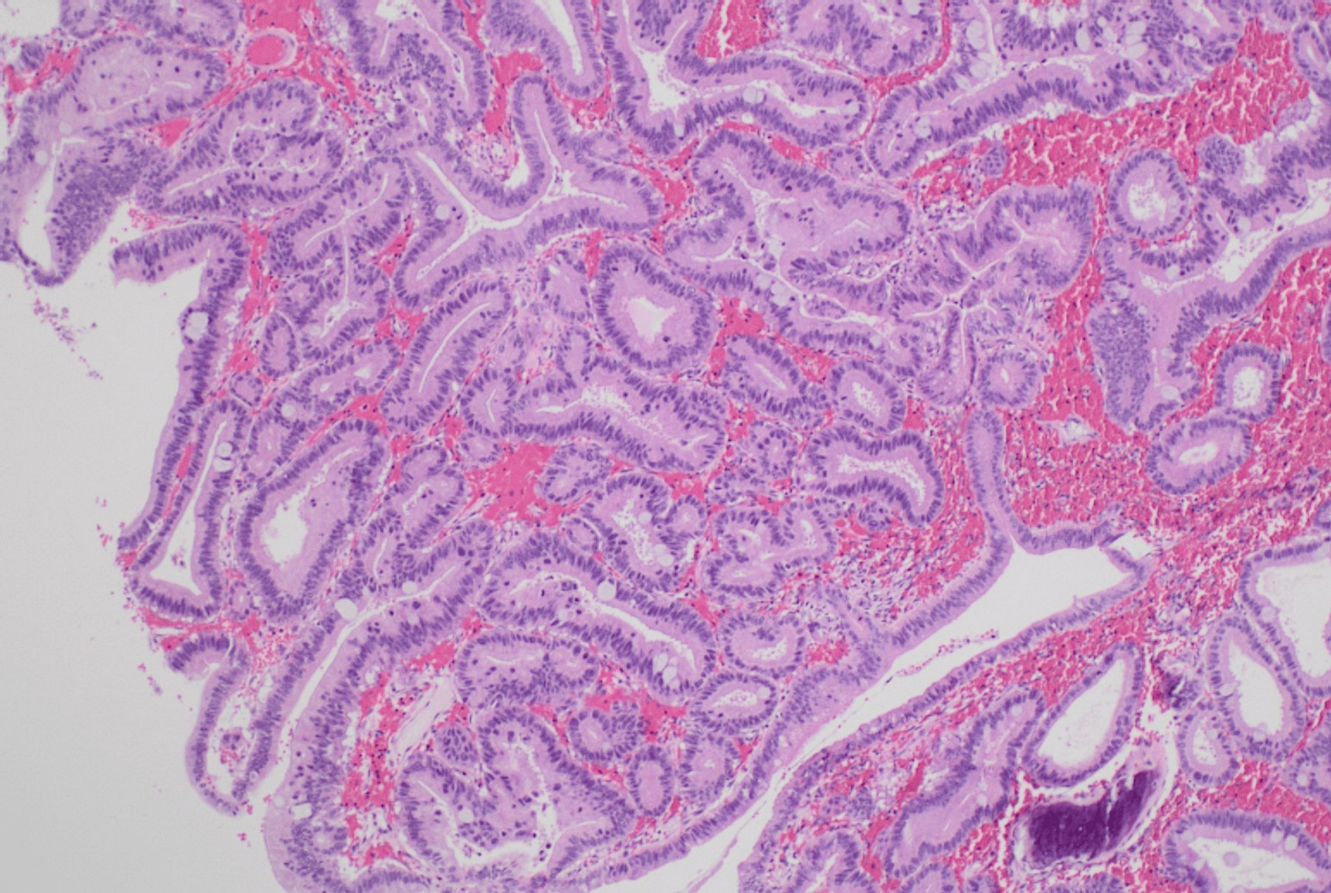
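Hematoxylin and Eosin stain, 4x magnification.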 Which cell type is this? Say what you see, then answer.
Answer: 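Glands and papillae are lined by a single layer of tall epithelial cells. Cells are taller than wide with eosinophilic cytoplasm toward the lumen. That points to this answer: columnar cells.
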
